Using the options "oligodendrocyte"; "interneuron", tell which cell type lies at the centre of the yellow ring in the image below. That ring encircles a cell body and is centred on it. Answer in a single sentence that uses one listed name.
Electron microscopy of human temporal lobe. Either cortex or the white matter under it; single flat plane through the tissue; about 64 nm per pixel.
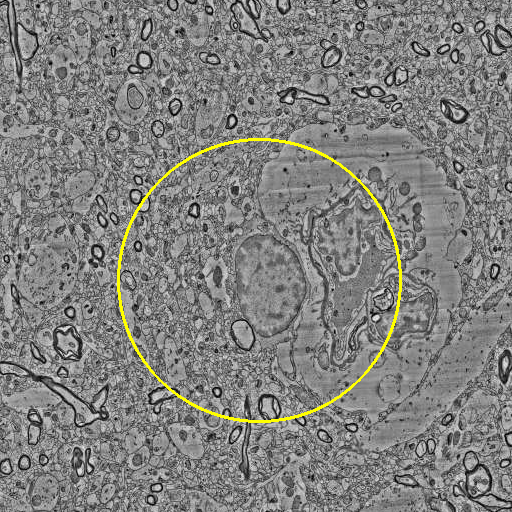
At the centre of the yellow ring lies the body of an oligodendrocyte.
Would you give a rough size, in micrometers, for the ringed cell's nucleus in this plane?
About 6 by 5 micrometers, in this plane.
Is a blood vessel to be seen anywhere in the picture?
Yes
